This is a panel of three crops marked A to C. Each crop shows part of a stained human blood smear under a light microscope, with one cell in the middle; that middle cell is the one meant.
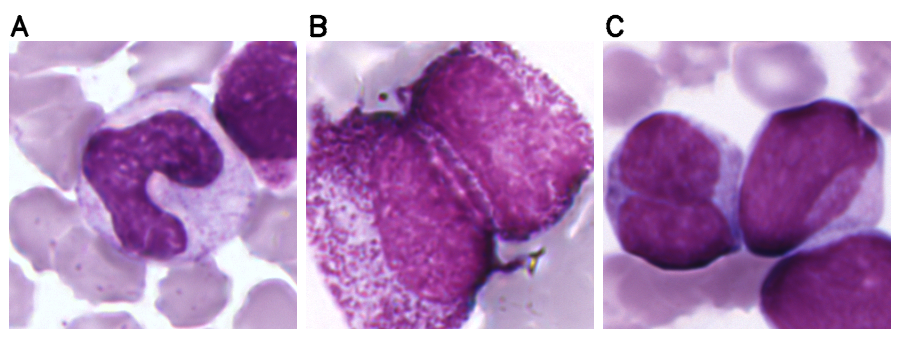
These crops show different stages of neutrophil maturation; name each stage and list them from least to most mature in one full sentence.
Sequenced by maturity, least first, the crops are crop C (a blast), crop B (a myelocyte) and crop A (a band neutrophil).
